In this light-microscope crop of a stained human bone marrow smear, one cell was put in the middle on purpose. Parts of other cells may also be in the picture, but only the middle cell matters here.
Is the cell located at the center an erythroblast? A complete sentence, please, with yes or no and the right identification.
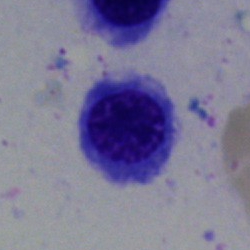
Yes, the cell in the middle has the identity of an erythroblast.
